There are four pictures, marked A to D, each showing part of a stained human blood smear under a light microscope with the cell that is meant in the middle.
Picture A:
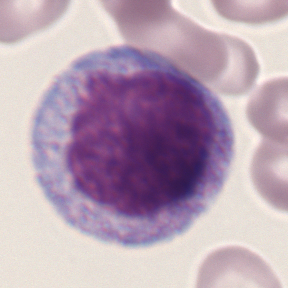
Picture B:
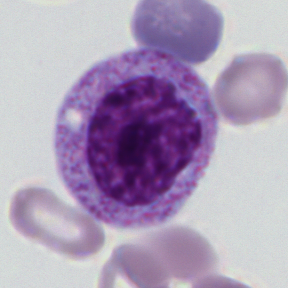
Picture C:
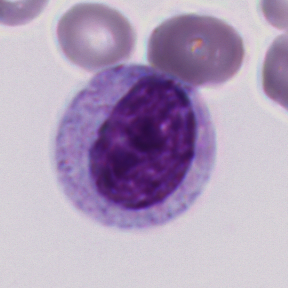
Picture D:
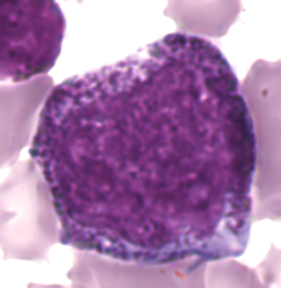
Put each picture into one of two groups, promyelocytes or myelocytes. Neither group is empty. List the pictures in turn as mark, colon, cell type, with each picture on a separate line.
A: promyelocyte
B: myelocyte
C: myelocyte
D: promyelocyte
